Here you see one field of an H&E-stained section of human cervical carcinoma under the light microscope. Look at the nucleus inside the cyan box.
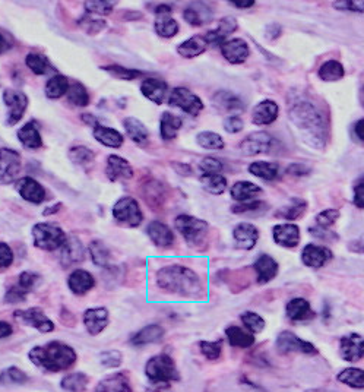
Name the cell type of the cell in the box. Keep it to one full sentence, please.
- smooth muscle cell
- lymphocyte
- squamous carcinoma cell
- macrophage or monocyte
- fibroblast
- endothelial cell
Within the stained tissue, the cell in the box is a macrophage or monocyte.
